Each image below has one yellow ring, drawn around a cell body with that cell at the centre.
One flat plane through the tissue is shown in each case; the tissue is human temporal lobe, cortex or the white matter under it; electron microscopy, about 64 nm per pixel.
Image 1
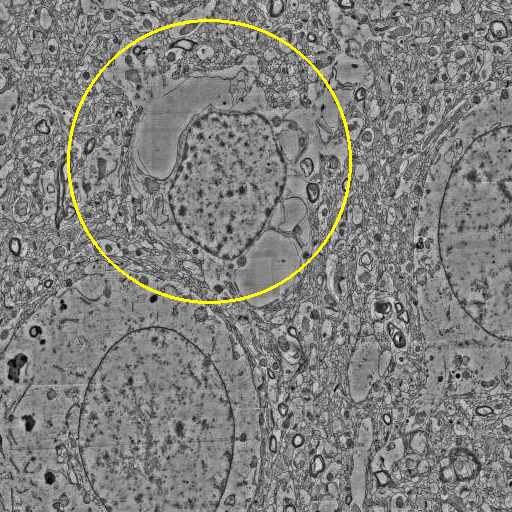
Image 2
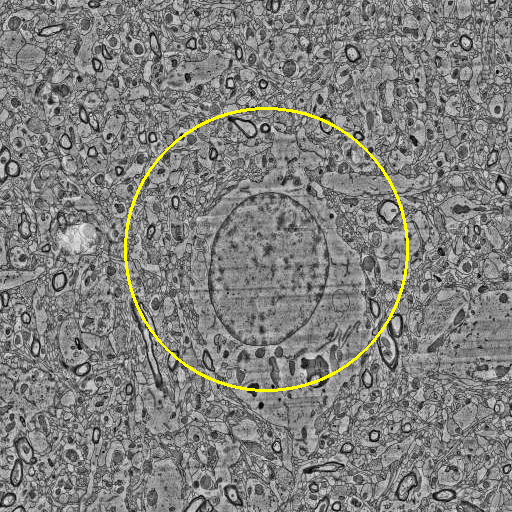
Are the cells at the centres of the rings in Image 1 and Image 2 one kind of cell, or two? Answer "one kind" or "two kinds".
one kind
